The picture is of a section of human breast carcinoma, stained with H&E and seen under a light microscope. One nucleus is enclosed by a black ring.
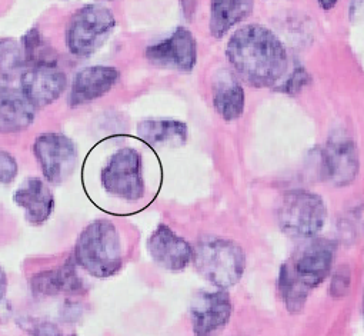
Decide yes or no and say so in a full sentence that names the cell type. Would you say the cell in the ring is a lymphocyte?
No. Look again: the cell in the ring is a carcinoma cell, not a lymphocyte.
